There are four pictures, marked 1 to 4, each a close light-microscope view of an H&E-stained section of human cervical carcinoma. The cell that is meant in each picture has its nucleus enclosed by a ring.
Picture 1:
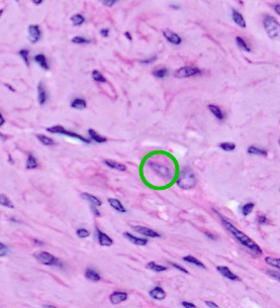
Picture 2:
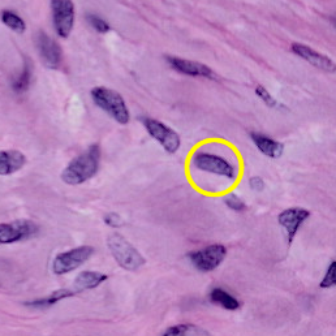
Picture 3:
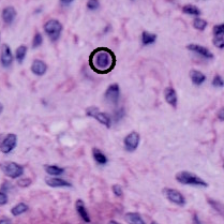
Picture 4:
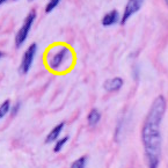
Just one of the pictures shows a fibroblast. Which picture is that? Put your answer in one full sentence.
Picture 2 is the one that shows the fibroblast.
